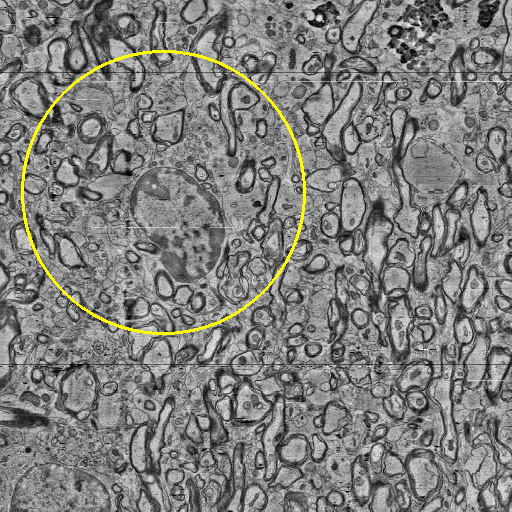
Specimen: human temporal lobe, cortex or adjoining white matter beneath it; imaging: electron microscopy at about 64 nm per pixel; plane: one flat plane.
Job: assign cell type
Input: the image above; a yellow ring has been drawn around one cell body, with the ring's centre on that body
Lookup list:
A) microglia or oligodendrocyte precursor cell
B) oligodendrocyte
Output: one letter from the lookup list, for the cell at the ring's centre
A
